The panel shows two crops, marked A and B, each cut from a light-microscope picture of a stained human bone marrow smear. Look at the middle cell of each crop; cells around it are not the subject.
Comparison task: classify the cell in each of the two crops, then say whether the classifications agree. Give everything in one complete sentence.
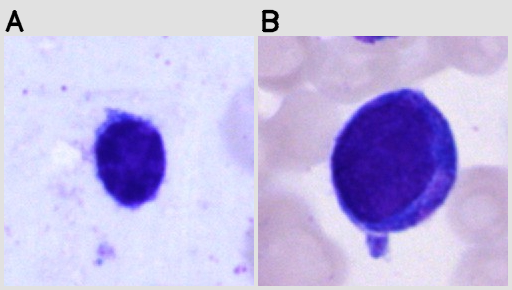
No, a blast is in crop B, and a lymphocyte is in crop A.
